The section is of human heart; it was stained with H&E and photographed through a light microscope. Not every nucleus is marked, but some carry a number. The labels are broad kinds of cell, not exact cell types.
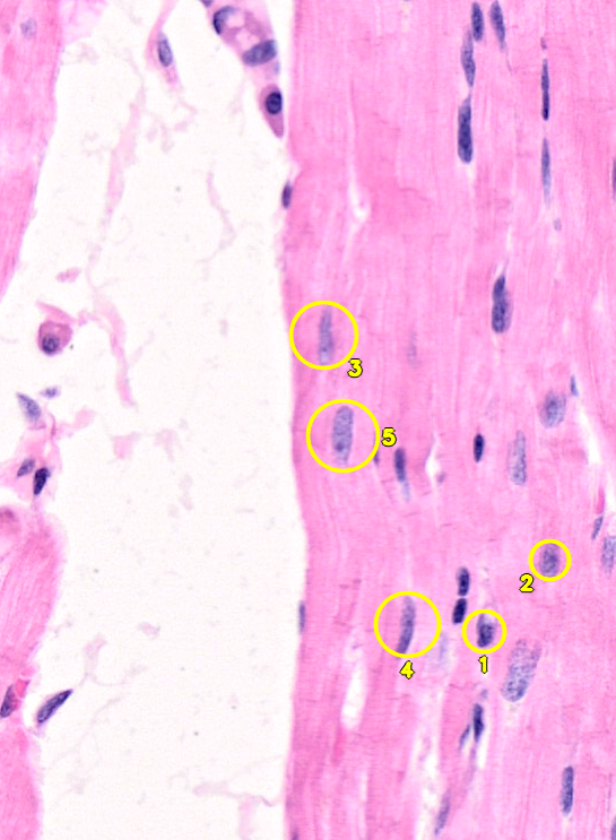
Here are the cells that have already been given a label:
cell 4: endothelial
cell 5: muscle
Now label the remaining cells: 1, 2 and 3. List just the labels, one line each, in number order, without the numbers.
endothelial
muscle
muscle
